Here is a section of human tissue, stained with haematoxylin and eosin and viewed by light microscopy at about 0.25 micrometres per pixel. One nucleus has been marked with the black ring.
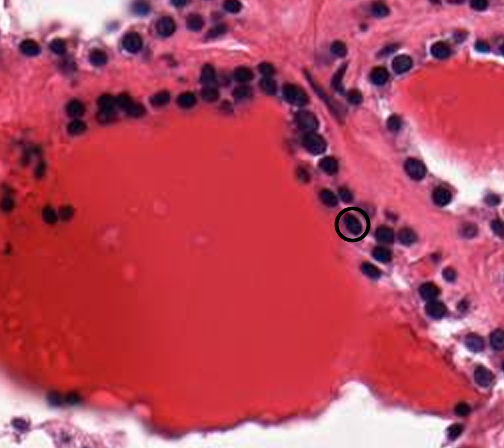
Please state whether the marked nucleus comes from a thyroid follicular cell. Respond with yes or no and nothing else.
yes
